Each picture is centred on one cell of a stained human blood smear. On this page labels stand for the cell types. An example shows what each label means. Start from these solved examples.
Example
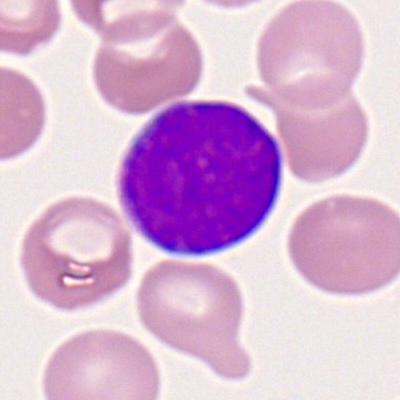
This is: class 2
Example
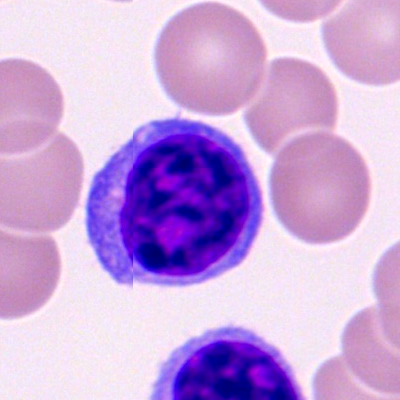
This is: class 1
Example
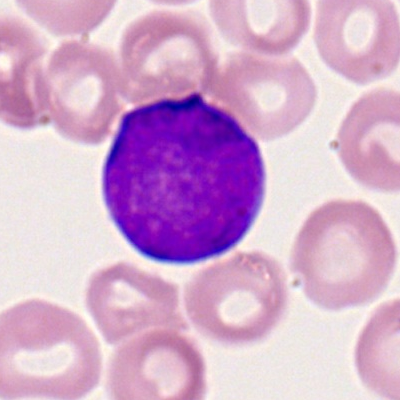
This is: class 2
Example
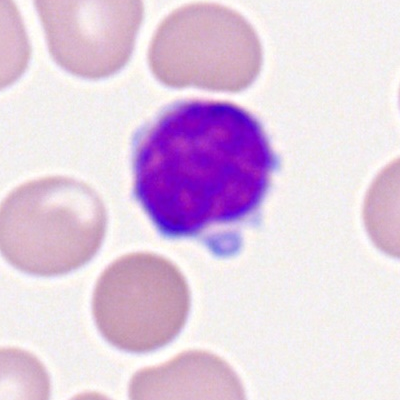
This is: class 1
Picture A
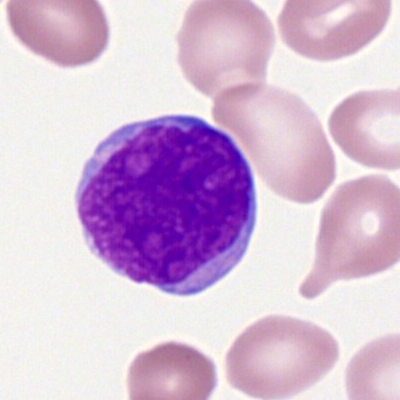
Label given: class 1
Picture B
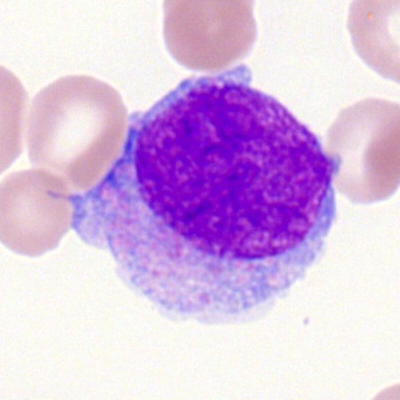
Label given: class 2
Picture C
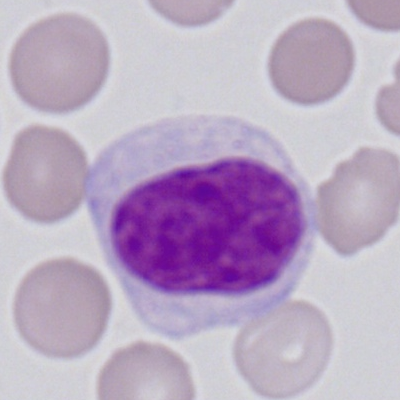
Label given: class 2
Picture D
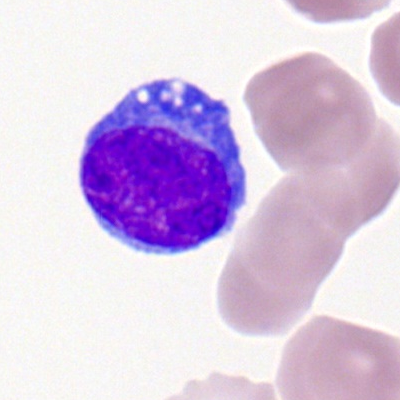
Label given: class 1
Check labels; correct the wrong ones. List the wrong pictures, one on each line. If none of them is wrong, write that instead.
Wrong: A (class 1); correct: class 2
Wrong: C (class 2); correct: class 1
